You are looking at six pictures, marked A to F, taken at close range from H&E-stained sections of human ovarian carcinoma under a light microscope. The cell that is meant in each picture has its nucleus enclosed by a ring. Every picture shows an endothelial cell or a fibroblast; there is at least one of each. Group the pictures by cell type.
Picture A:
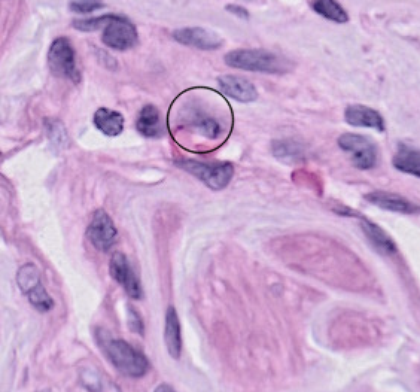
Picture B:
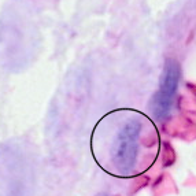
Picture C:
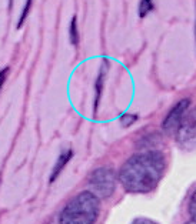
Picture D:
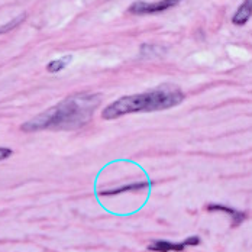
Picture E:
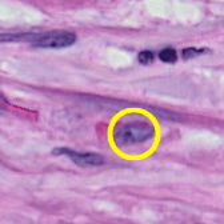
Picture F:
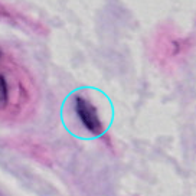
A: endothelial cell
B: endothelial cell
C: fibroblast
D: fibroblast
E: endothelial cell
F: fibroblast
